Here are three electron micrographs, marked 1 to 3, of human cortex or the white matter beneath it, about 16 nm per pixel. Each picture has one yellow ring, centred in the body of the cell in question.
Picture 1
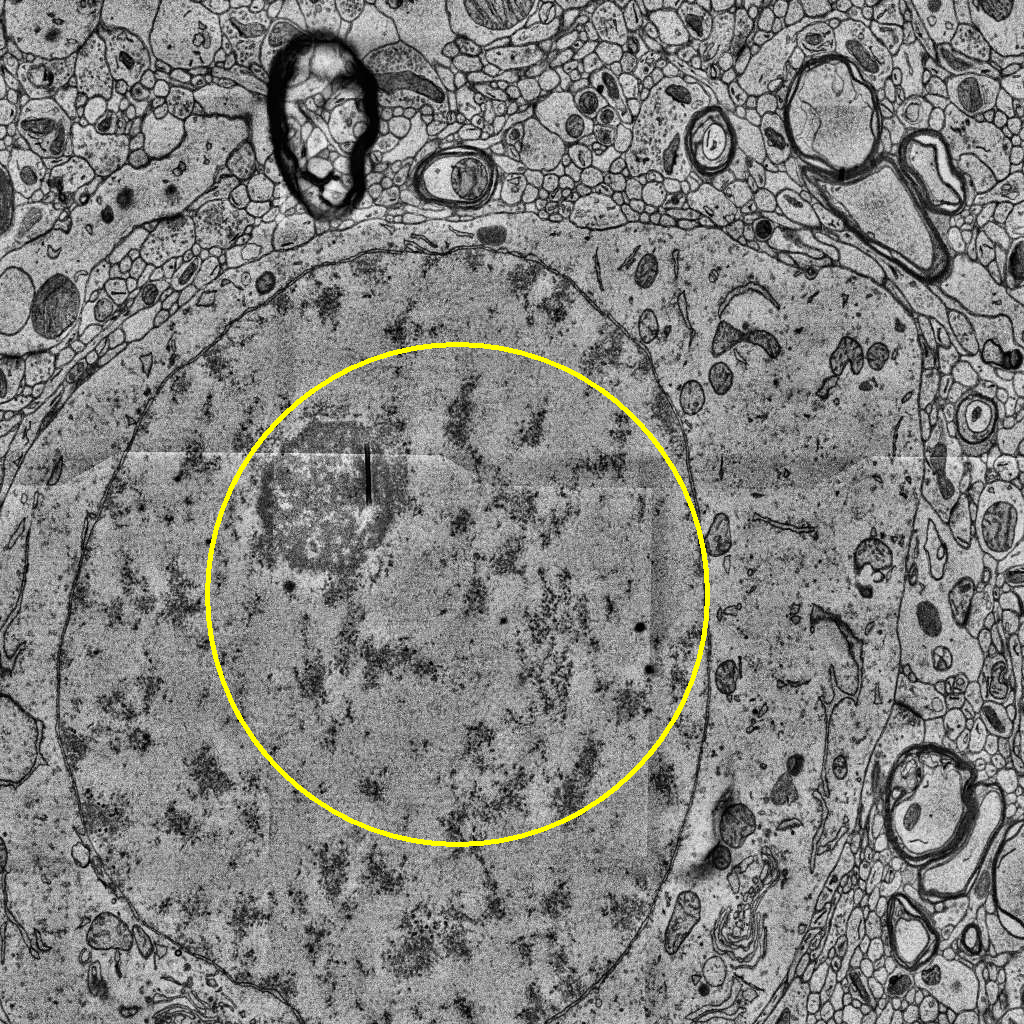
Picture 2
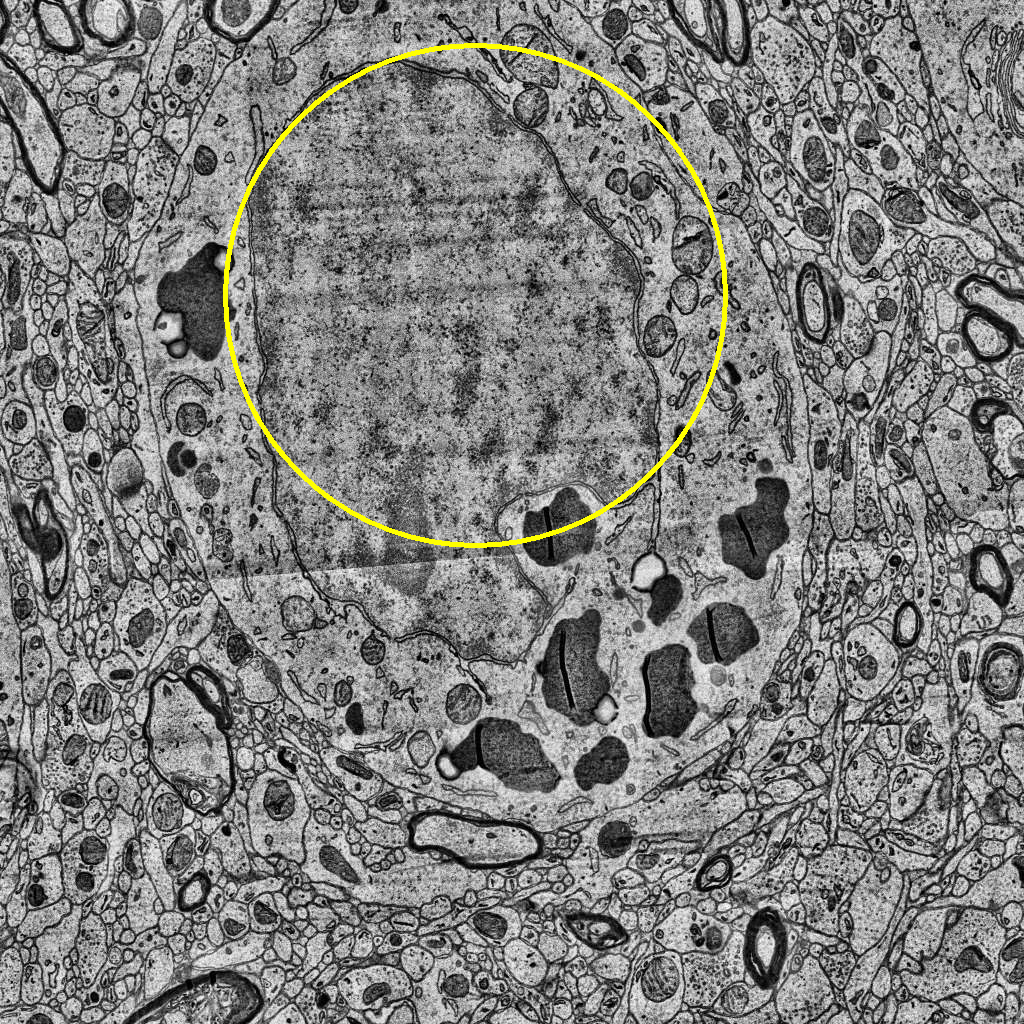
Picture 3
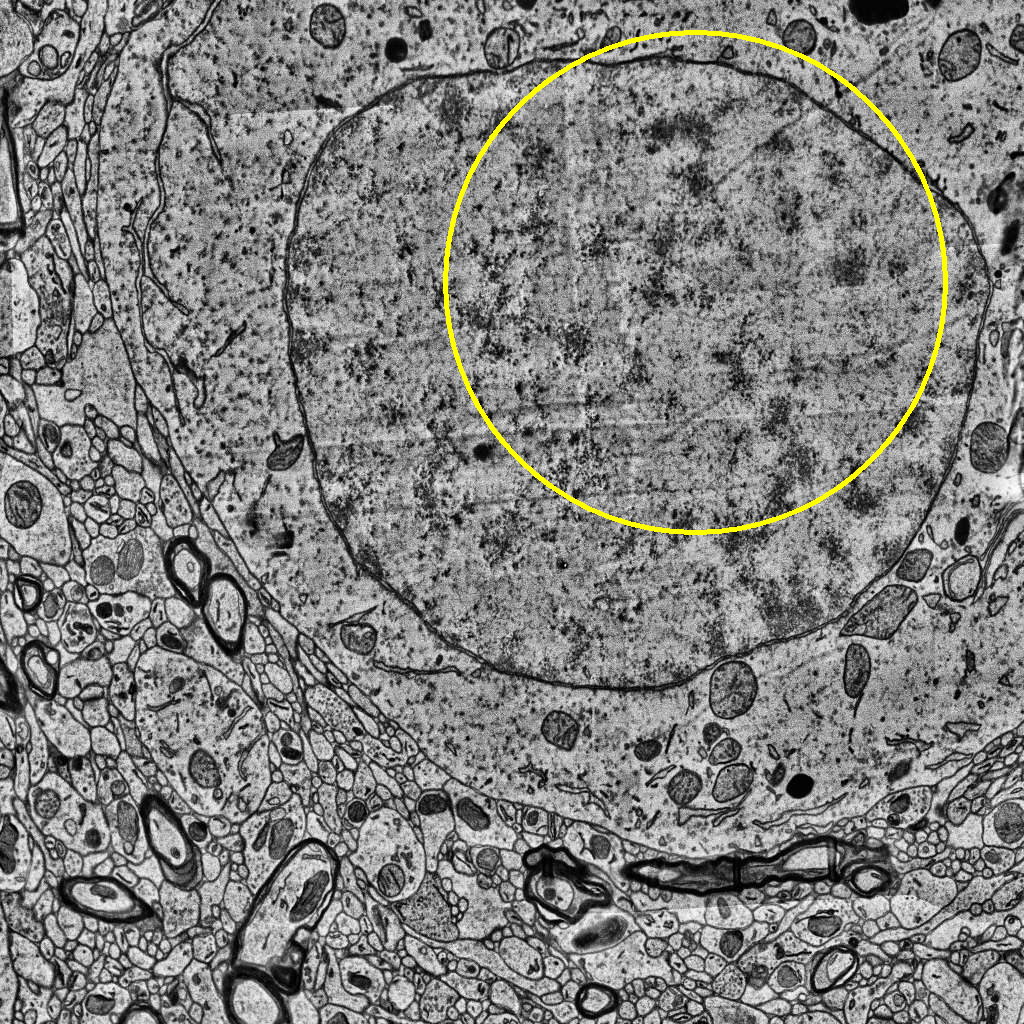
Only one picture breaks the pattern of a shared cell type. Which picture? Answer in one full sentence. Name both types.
Unlike the rest, which show pyramidal neurons, picture 2 shows an interneuron.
